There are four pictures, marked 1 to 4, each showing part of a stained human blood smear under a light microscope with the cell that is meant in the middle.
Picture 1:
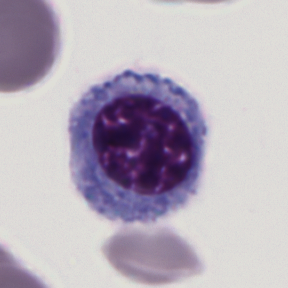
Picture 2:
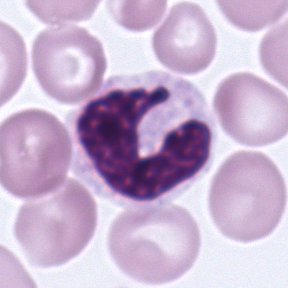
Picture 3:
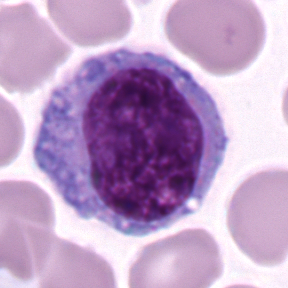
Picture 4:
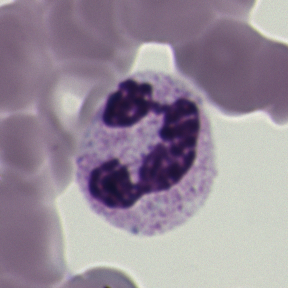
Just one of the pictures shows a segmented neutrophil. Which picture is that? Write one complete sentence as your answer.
The picture with the segmented neutrophil is 4.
